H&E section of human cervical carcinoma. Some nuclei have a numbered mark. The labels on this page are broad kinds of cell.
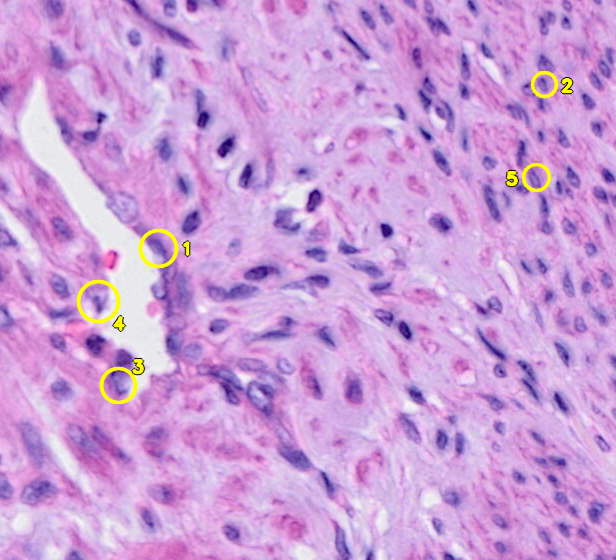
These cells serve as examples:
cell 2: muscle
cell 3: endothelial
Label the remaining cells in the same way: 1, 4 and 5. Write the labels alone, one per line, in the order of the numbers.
endothelial
endothelial
muscle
